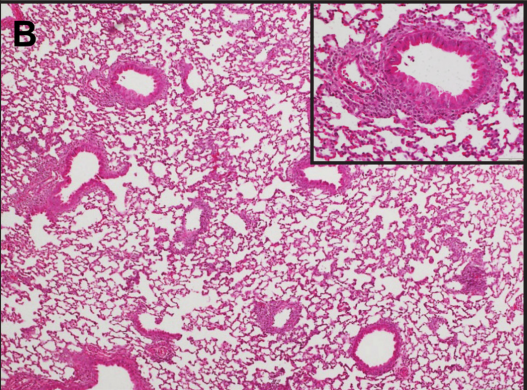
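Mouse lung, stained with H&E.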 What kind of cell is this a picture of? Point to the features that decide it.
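In the inset, small cells with round dark nuclei gather in a cuff beside an airway. These cells lie outside the airway's epithelial lining.
Conclusion: mononuclear inflammatory cells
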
